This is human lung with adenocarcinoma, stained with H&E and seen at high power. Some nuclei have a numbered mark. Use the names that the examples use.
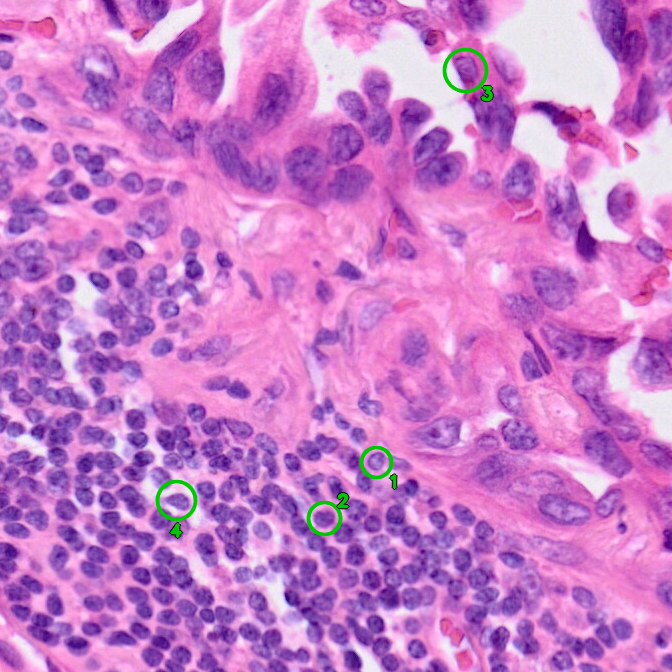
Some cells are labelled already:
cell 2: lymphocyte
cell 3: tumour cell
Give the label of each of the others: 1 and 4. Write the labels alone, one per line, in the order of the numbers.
lymphocyte
lymphocyte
